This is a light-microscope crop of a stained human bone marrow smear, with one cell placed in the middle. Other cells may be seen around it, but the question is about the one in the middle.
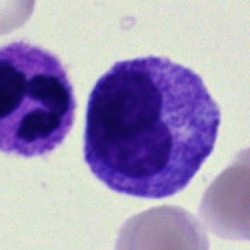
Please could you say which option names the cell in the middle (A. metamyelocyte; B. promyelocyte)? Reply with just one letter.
A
